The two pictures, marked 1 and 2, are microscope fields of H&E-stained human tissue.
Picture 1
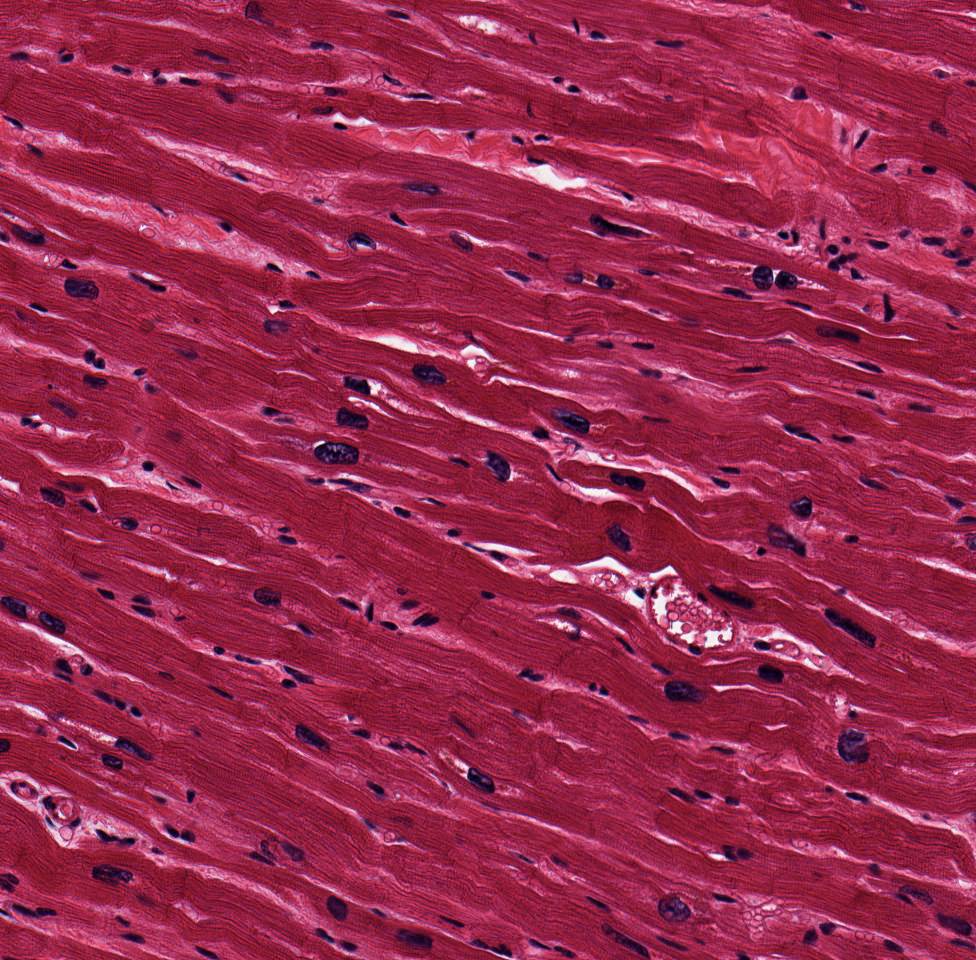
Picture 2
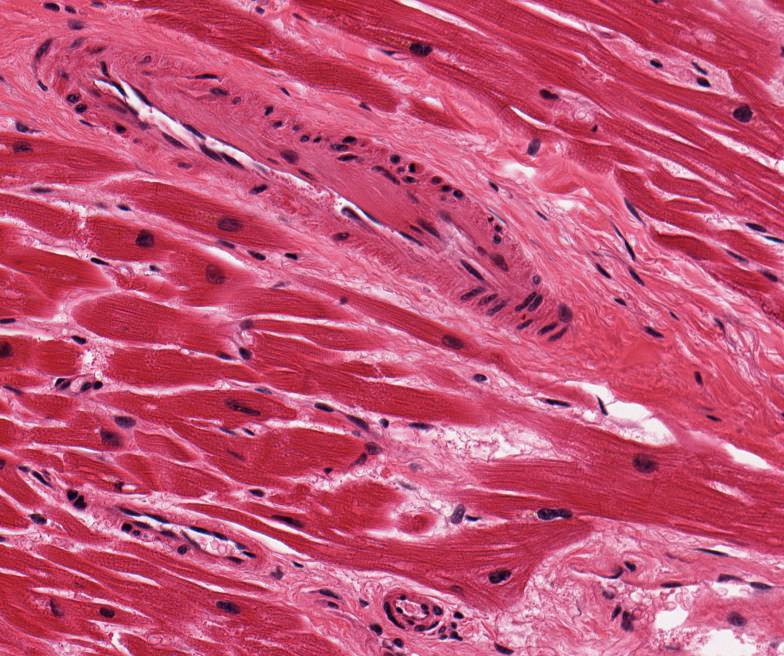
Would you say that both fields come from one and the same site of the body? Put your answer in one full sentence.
Yes, the two fields both come from the left ventricle of the heart.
